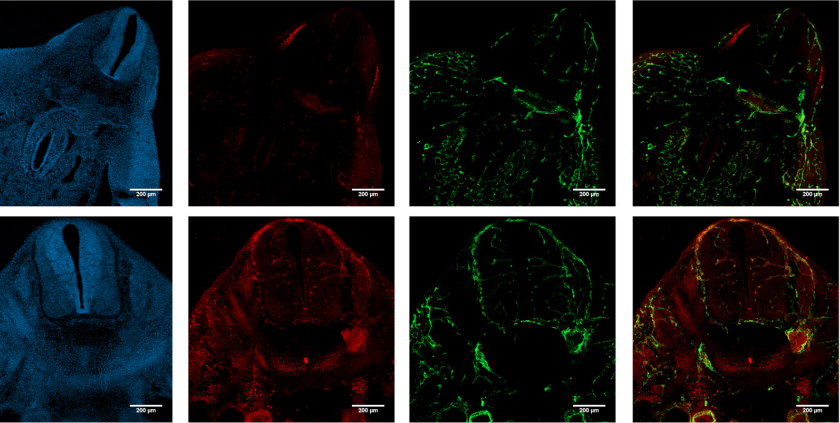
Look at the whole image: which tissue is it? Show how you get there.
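A narrow slit-like central canal runs through the middle of the tube.
Conclusion: spinal cord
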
